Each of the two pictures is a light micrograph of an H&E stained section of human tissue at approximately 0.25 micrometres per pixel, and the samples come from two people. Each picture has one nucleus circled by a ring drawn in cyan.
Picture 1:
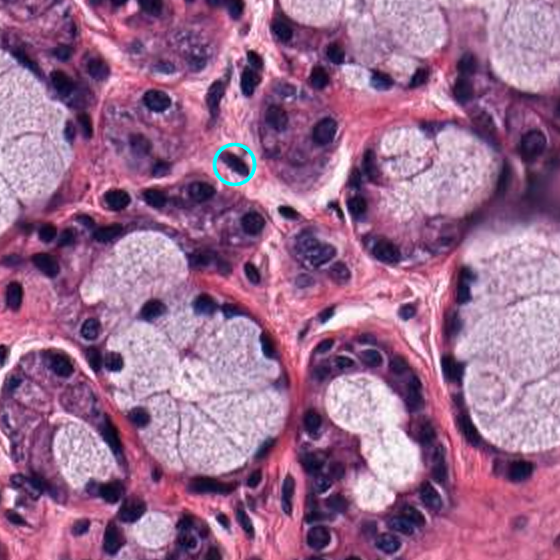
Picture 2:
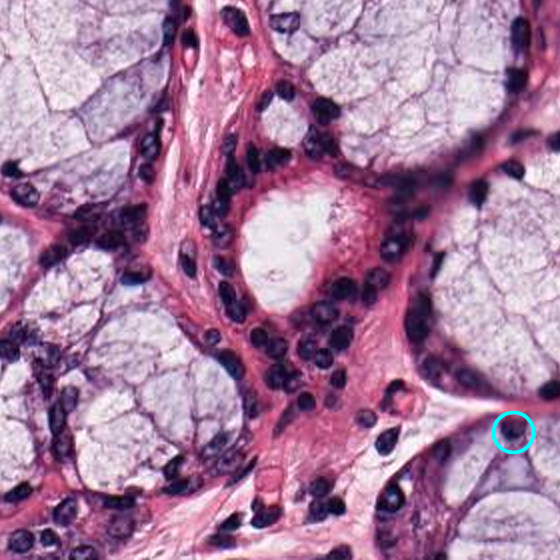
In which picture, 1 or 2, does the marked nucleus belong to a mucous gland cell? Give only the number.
2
